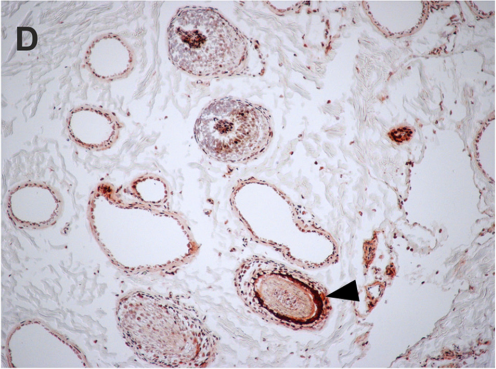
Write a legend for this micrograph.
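Dermis with hair follicles cut transversely. Several round follicle profiles show concentric epithelial layers with brown-stained nuclei; two have a small dark brown central core. Many other profiles are empty, dilated rounds or ovals lined by a thin rim of flattened cells with brown nuclei. Between them lies loose, pale collagen with scattered brown-nucleated stromal cells and a few small dark brown foci.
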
